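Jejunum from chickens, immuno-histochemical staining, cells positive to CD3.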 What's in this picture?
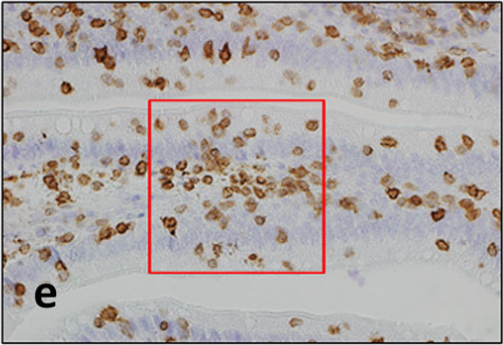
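Section of intestinal villi showing lining epithelium around connective-tissue cores, with numerous small round brown-stained cells. The brown cells are rounded with dark brown borders and lie scattered among the tall epithelial cells and gathered in the central core of each villus. The epithelium forms a band of tall columnar cells whose pale blue, elongated nuclei are lined up in a row, with small clear vacuole-like spaces near the surface. Unstained gaps of the lumen separate adjacent villi, and another villus with many brown cells occupies the upper part of the field.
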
